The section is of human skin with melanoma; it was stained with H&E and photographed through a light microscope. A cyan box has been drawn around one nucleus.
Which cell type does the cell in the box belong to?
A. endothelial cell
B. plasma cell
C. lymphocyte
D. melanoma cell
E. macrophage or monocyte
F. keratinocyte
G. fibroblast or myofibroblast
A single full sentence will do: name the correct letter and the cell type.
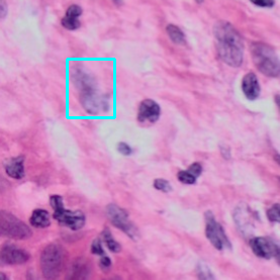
Option G, which has the cell in the box as a fibroblast or myofibroblast, is the correct choice.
